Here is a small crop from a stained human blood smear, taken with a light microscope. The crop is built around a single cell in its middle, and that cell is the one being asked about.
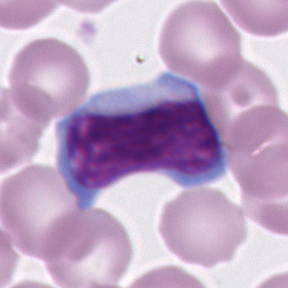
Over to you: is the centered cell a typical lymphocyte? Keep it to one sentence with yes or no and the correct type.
Yes, the cell lying in the centre of the crop is identified as a typical lymphocyte.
